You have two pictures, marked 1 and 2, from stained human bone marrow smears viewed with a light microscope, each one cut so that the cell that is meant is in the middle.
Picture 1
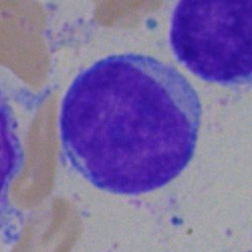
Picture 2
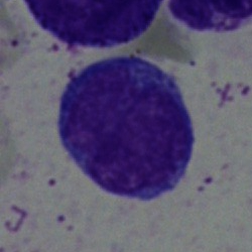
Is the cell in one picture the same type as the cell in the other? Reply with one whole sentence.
Yes, both are blasts.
